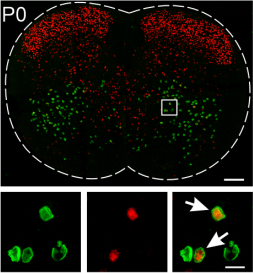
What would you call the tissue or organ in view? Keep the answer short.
spinal cord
